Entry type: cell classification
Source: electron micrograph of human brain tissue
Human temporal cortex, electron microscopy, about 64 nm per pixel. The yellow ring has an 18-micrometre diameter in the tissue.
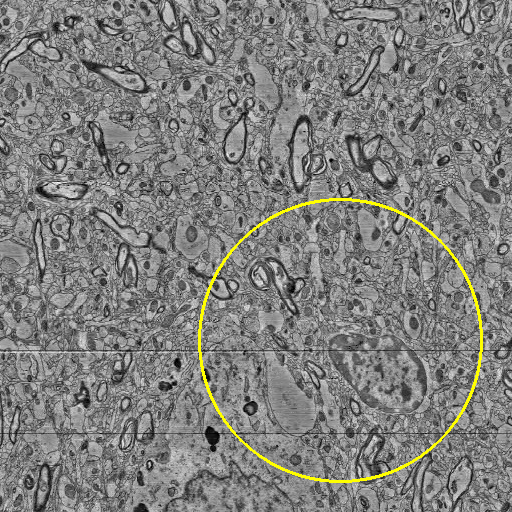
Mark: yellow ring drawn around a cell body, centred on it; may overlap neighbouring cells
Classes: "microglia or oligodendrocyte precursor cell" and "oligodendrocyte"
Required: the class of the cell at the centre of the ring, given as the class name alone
microglia or oligodendrocyte precursor cell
